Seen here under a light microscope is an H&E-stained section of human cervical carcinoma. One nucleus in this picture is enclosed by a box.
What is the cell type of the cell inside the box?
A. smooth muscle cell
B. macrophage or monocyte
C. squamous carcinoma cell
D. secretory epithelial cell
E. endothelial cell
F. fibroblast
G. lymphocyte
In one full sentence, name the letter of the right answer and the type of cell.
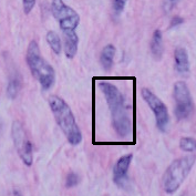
Of the options given, A is right: the cell inside the box is a smooth muscle cell.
